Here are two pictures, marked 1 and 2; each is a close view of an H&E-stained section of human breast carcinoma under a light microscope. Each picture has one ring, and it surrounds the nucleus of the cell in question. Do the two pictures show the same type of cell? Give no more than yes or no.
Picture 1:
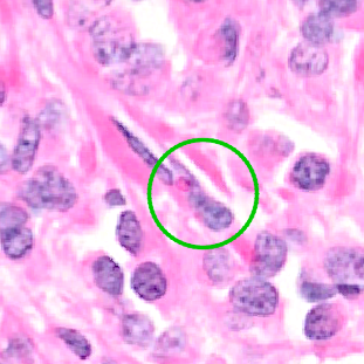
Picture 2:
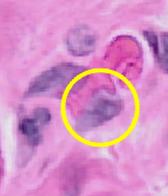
yes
